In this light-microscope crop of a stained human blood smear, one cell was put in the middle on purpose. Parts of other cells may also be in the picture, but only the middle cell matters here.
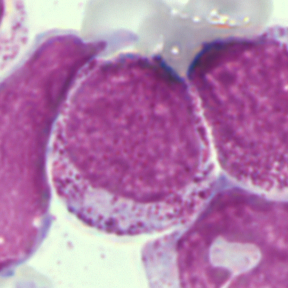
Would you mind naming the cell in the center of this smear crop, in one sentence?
What the crop centres on is a myelocyte.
